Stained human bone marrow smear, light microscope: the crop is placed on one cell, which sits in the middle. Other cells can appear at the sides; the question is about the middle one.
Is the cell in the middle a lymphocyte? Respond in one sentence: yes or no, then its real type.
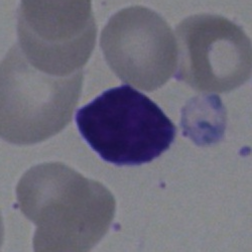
Yes, the cell right in the middle is a lymphocyte.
